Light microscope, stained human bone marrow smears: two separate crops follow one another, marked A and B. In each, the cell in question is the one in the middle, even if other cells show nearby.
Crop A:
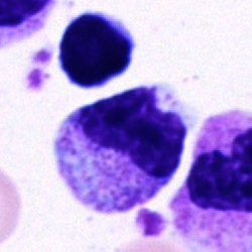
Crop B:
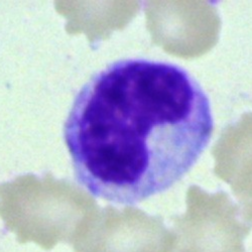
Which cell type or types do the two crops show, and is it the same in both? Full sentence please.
Yes, as shown in both crops, the central cells are metamyelocytes.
